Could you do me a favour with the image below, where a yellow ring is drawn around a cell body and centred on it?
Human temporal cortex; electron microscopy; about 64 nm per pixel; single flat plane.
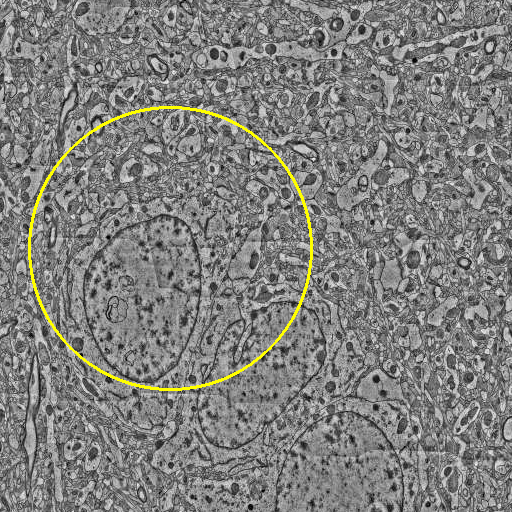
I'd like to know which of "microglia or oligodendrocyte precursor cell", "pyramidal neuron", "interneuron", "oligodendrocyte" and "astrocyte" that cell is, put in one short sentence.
The cell at the ring's centre is a pyramidal neuron.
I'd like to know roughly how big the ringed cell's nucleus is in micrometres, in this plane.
In this plane, the nucleus of the cell at the centre of the ring measures about 11 by 7 micrometres.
